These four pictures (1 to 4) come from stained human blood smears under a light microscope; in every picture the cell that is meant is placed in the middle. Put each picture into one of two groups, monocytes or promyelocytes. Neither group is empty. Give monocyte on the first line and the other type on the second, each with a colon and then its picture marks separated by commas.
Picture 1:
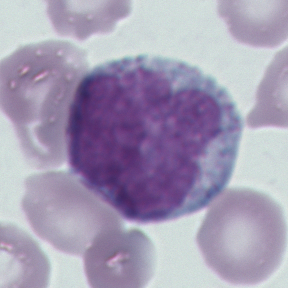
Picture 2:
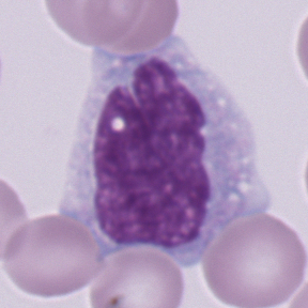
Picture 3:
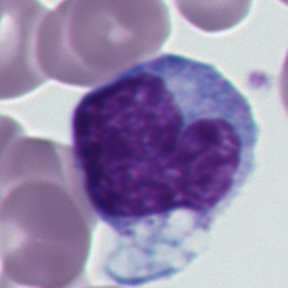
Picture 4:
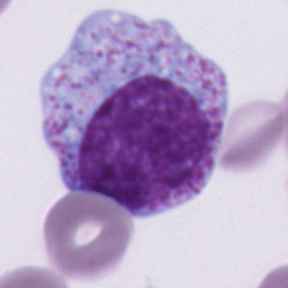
monocyte: 2, 3
promyelocyte: 1, 4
